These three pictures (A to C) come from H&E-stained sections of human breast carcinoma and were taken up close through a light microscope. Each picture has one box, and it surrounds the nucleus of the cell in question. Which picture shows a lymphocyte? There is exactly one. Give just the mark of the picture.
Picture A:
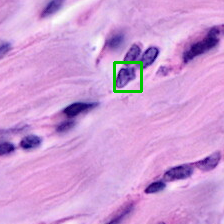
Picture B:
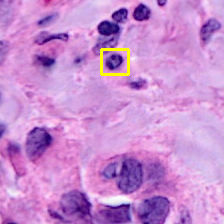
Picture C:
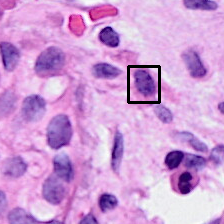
A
